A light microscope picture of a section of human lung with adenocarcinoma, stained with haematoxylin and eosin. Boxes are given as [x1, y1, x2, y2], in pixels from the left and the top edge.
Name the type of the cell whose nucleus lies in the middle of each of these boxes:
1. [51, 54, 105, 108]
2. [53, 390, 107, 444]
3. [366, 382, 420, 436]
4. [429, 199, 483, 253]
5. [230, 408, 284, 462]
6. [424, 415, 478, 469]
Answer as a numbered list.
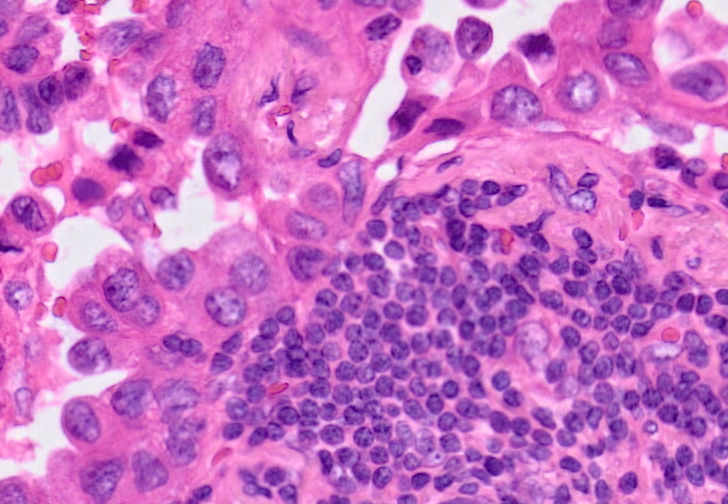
1. carcinoma cell
2. carcinoma cell
3. lymphocyte
4. lymphocyte
5. lymphocyte
6. lymphocyte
